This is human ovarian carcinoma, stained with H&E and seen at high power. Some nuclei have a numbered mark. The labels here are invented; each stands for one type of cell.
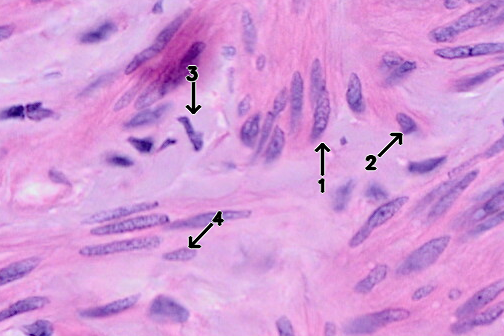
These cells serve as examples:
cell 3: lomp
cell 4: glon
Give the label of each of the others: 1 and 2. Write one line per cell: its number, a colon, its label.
1: glon
2: glon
